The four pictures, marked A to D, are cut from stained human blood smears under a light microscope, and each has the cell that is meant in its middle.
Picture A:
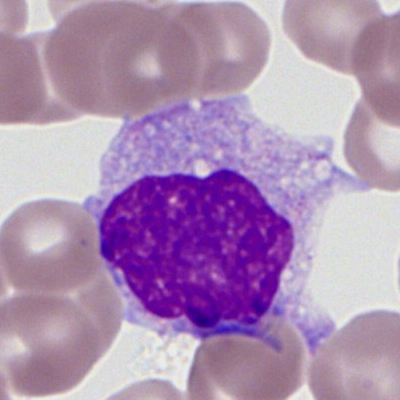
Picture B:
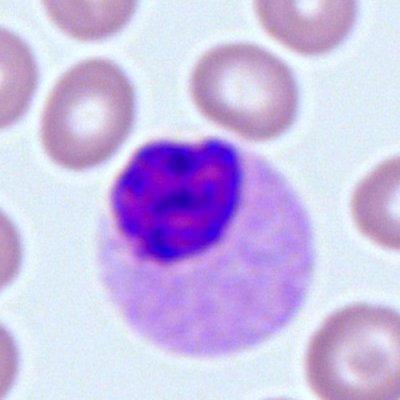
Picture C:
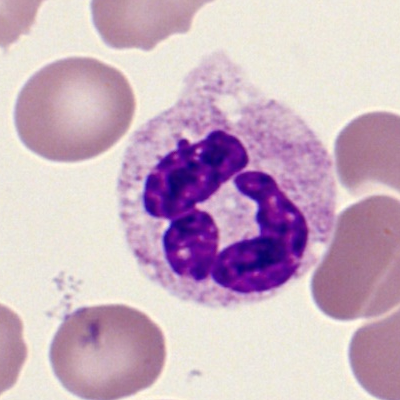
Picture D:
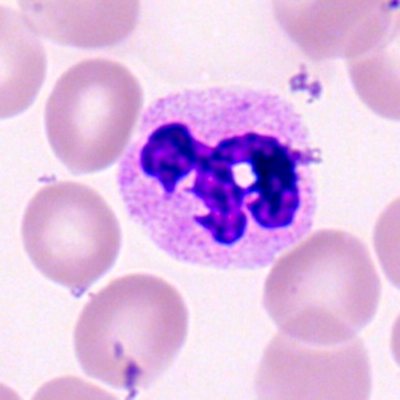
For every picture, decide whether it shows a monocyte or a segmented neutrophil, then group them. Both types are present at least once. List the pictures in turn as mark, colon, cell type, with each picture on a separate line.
A: monocyte
B: segmented neutrophil
C: segmented neutrophil
D: segmented neutrophil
